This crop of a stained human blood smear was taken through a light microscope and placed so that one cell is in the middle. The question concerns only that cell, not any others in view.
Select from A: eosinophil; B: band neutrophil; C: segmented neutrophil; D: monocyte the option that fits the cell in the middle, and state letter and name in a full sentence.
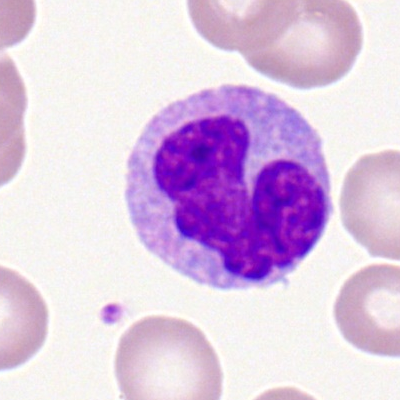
The central cell in this crop is a monocyte, corresponding to option D, the correct option.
